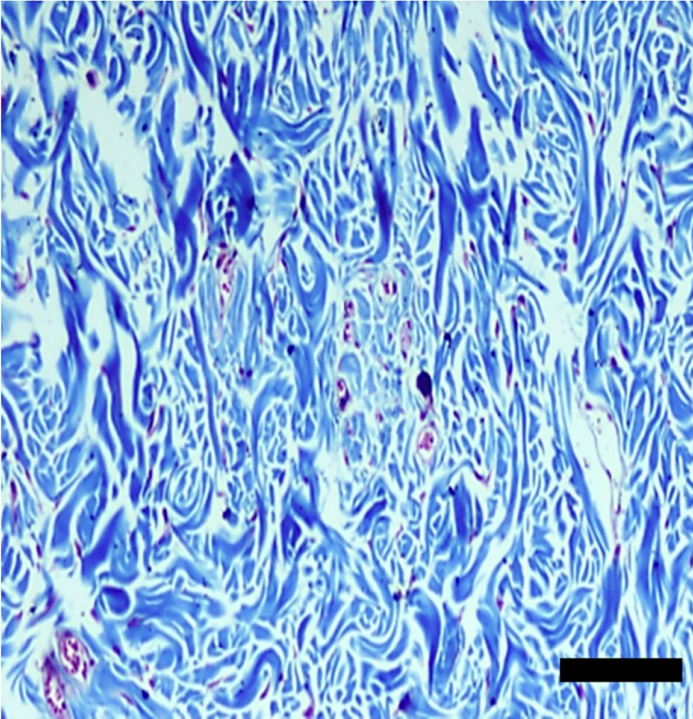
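Many bundles are long and thick and run mostly from top to bottom, packed closely together with narrow pale spaces between them. Between them lie smaller, interwoven bundles cut in various directions. Few cells are seen; scattered small reddish nuclei and a few small vessel-like profiles with red-stained contents lie among the bundles.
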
